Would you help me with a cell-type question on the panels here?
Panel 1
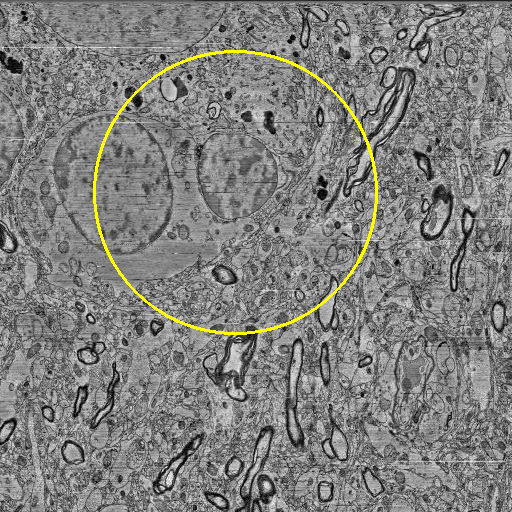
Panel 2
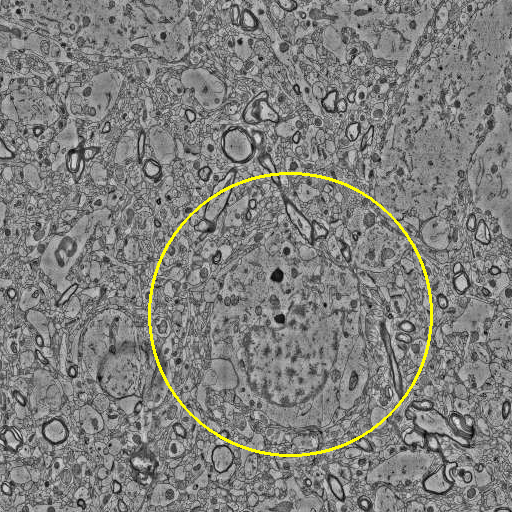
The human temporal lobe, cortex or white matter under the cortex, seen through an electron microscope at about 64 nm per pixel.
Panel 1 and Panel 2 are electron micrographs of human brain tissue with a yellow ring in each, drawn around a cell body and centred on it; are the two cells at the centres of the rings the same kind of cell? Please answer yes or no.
no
